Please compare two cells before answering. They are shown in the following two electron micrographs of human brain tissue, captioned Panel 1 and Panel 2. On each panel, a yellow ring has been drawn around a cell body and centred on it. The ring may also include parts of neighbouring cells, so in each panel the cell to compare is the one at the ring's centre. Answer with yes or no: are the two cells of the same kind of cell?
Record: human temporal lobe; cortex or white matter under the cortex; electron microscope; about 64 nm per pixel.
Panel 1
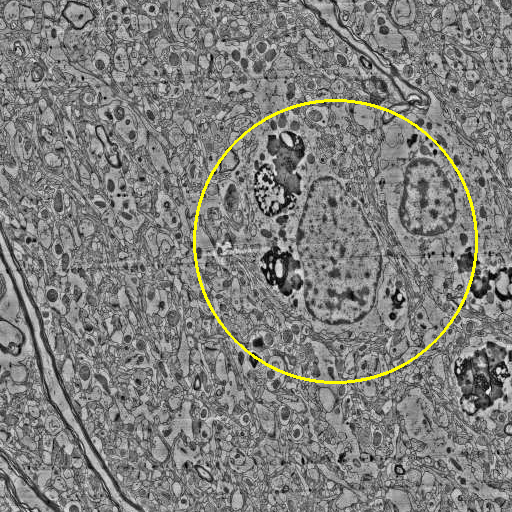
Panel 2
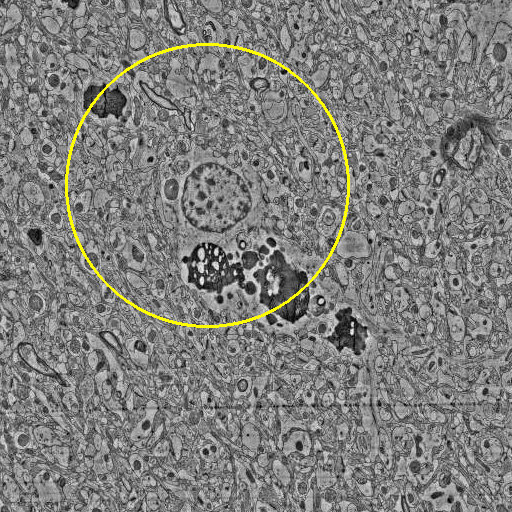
yes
